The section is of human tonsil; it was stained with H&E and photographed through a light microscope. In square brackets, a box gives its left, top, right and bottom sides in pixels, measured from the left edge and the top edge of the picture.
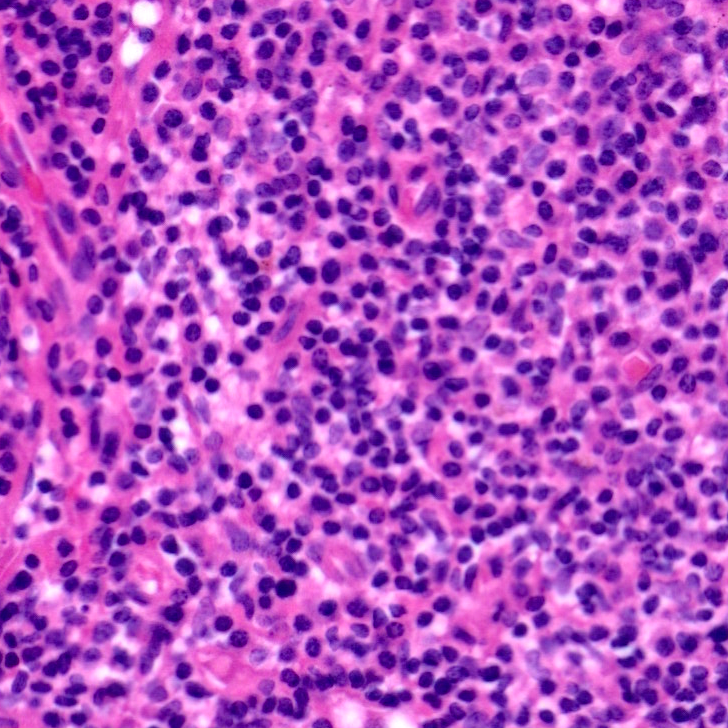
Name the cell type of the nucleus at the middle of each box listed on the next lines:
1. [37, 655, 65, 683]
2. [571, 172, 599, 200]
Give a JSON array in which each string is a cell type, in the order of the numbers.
["small lymphocyte", "plasma cell"]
